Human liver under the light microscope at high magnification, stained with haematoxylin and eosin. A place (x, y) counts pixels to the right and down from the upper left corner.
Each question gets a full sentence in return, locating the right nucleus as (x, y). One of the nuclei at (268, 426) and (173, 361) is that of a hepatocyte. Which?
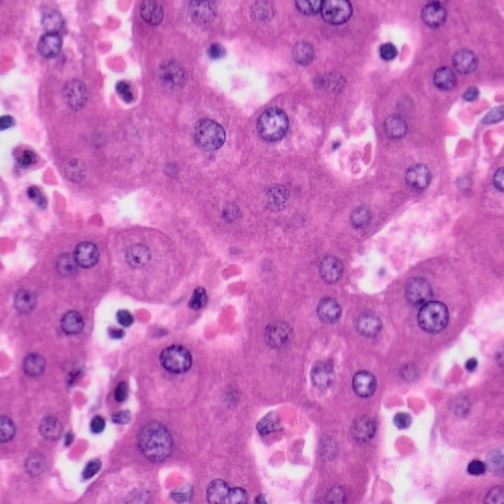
The nucleus at (173, 361) is the one that belongs to a hepatocyte.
